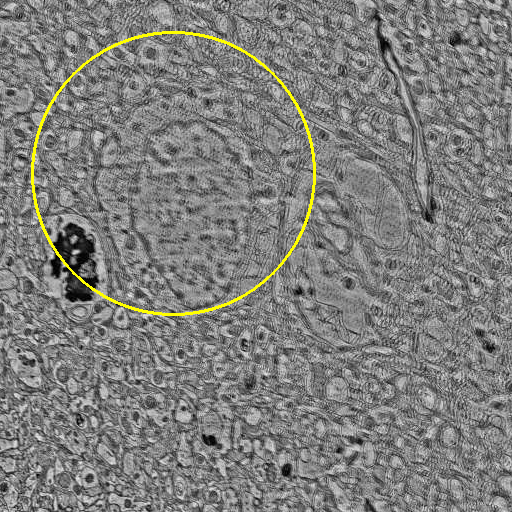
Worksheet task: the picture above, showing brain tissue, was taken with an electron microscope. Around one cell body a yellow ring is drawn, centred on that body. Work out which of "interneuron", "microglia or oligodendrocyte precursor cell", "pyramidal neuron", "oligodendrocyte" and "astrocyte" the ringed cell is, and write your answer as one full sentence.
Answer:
It is an interneuron whose cell body lies at the centre of the yellow ring.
